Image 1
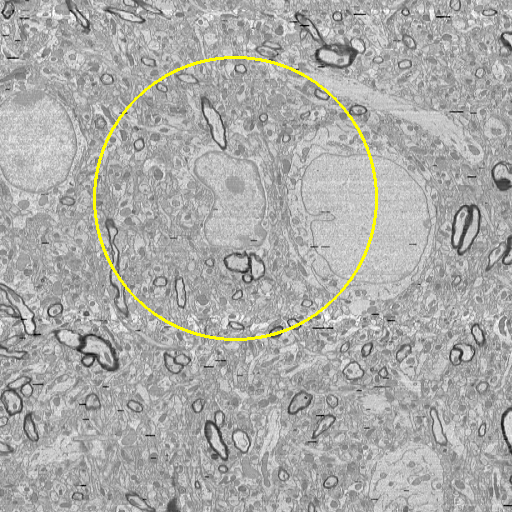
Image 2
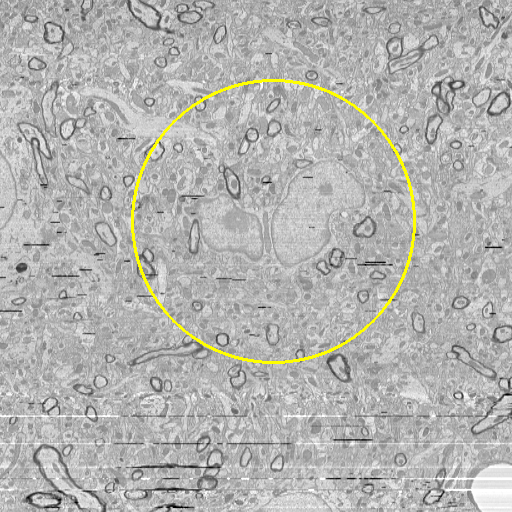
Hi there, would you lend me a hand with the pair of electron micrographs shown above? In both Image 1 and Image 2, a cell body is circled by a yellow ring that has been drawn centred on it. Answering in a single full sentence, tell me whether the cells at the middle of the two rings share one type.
Yes, the ringed cells in Image 1 and Image 2 share one type.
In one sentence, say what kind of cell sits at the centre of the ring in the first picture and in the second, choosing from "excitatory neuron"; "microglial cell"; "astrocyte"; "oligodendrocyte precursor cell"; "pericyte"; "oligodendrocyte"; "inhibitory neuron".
Each of the ringed cells, first and second, is an oligodendrocyte precursor cell.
